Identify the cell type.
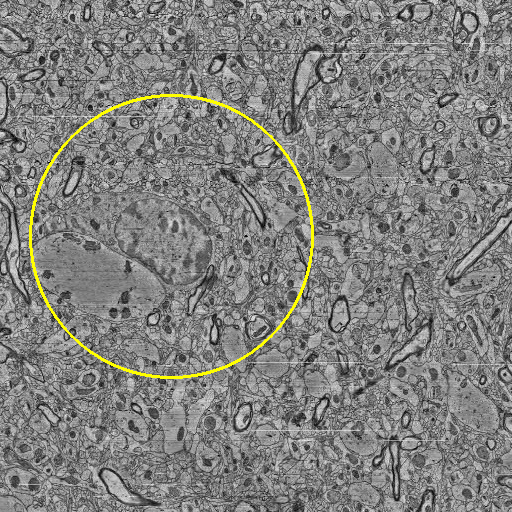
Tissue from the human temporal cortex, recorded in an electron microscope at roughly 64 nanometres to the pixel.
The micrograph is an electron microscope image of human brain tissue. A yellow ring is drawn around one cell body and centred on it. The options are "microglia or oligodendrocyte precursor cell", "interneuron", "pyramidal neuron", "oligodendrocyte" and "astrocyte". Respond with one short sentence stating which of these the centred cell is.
The cell body in the ring belongs to an oligodendrocyte.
